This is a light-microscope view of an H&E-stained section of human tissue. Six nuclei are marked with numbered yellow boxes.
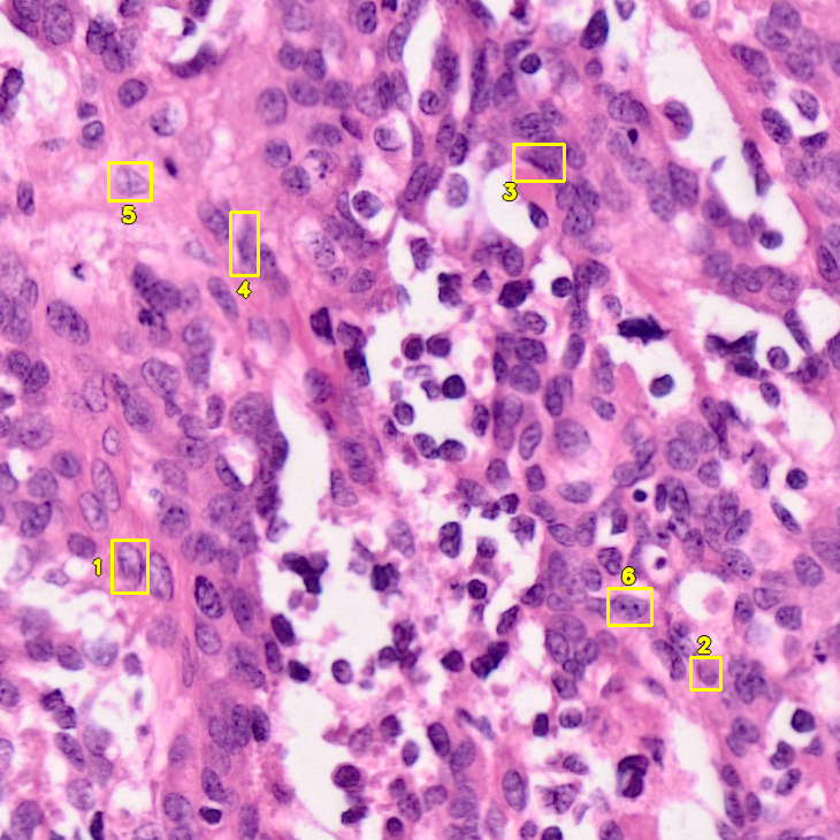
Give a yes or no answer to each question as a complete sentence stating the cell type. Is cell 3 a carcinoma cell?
Yes, the cell tagged with the number 3 is a carcinoma cell.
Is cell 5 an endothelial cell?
No, the cell given the number 5 is a fibroblast, so not an endothelial cell.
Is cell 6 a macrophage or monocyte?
Yes, regarding number 6, the cell is a macrophage or monocyte.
